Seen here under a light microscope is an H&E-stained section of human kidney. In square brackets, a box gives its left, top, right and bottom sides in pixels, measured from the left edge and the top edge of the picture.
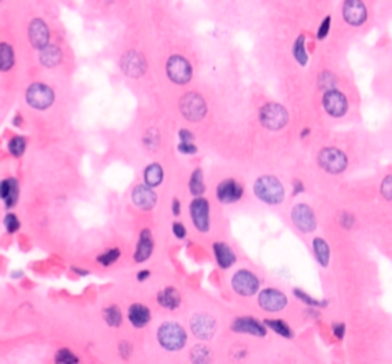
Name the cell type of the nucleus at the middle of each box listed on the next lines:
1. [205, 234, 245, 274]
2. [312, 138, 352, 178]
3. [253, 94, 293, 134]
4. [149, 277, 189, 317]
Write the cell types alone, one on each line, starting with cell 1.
collecting duct cell
proximal tubule cell
proximal tubule cell
loop of Henle or distal tubule cell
